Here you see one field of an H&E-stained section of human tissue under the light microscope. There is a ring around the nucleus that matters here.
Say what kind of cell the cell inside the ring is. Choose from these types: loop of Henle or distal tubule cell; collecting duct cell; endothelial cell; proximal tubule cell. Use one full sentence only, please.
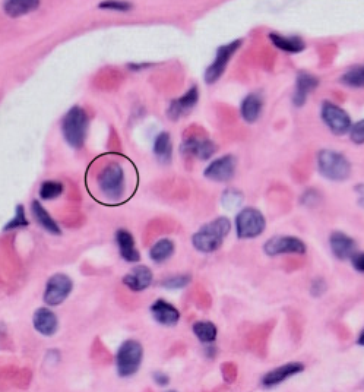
Considered by cell type, the cell inside the ring is an endothelial cell.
